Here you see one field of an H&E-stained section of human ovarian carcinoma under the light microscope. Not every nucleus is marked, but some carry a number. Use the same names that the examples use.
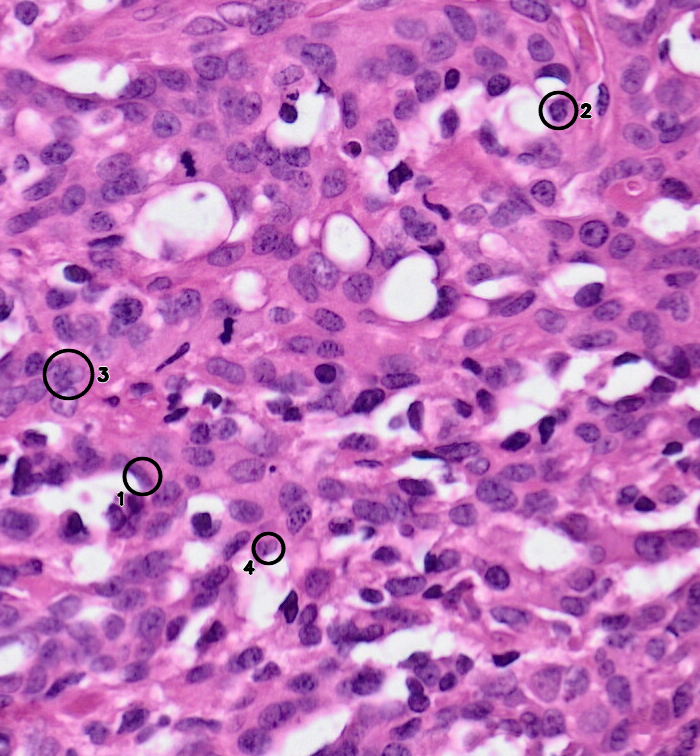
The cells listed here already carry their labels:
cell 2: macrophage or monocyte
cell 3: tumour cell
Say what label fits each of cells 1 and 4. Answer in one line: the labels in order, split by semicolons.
tumour cell; macrophage or monocyte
